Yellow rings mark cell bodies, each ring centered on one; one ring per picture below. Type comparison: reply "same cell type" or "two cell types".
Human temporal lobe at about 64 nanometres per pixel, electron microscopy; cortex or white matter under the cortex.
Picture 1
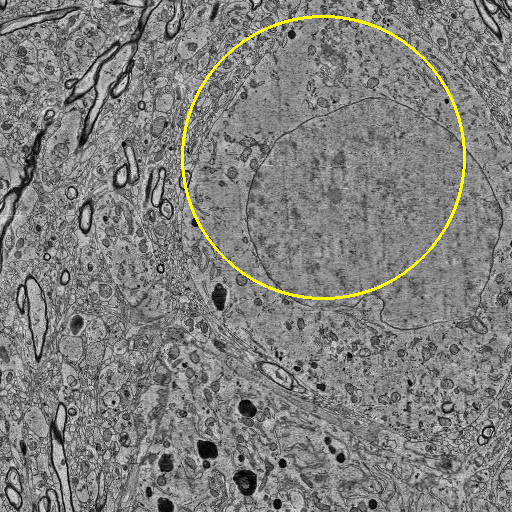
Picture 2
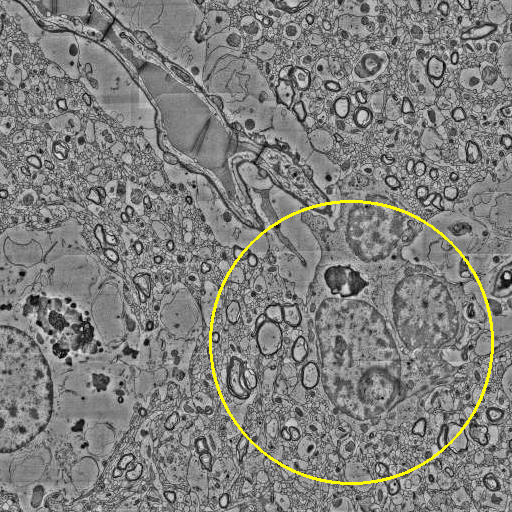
two cell types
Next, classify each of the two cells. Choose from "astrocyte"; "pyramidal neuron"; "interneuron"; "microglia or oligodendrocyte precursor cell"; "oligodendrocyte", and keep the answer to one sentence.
In the first picture it is a pyramidal neuron; in the second it is an oligodendrocyte.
